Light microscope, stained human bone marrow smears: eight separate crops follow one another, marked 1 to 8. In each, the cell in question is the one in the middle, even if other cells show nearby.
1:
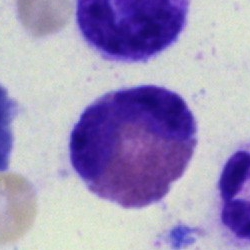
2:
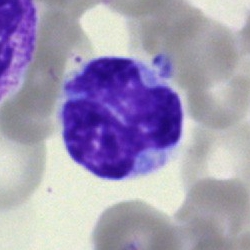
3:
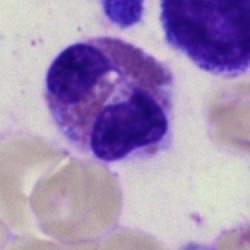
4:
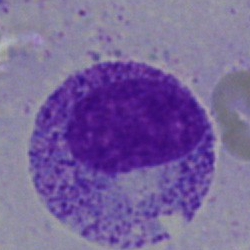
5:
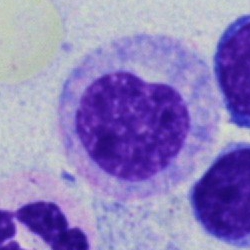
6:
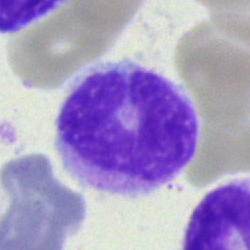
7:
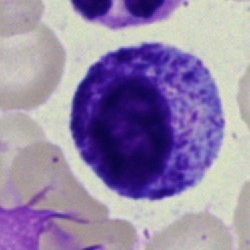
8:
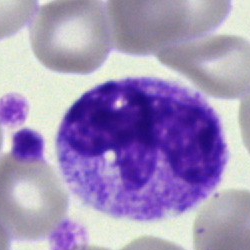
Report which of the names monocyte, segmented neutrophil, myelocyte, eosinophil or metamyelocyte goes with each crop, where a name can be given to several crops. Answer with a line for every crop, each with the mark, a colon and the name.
1: eosinophil
2: monocyte
3: eosinophil
4: myelocyte
5: myelocyte
6: monocyte
7: myelocyte
8: segmented neutrophil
